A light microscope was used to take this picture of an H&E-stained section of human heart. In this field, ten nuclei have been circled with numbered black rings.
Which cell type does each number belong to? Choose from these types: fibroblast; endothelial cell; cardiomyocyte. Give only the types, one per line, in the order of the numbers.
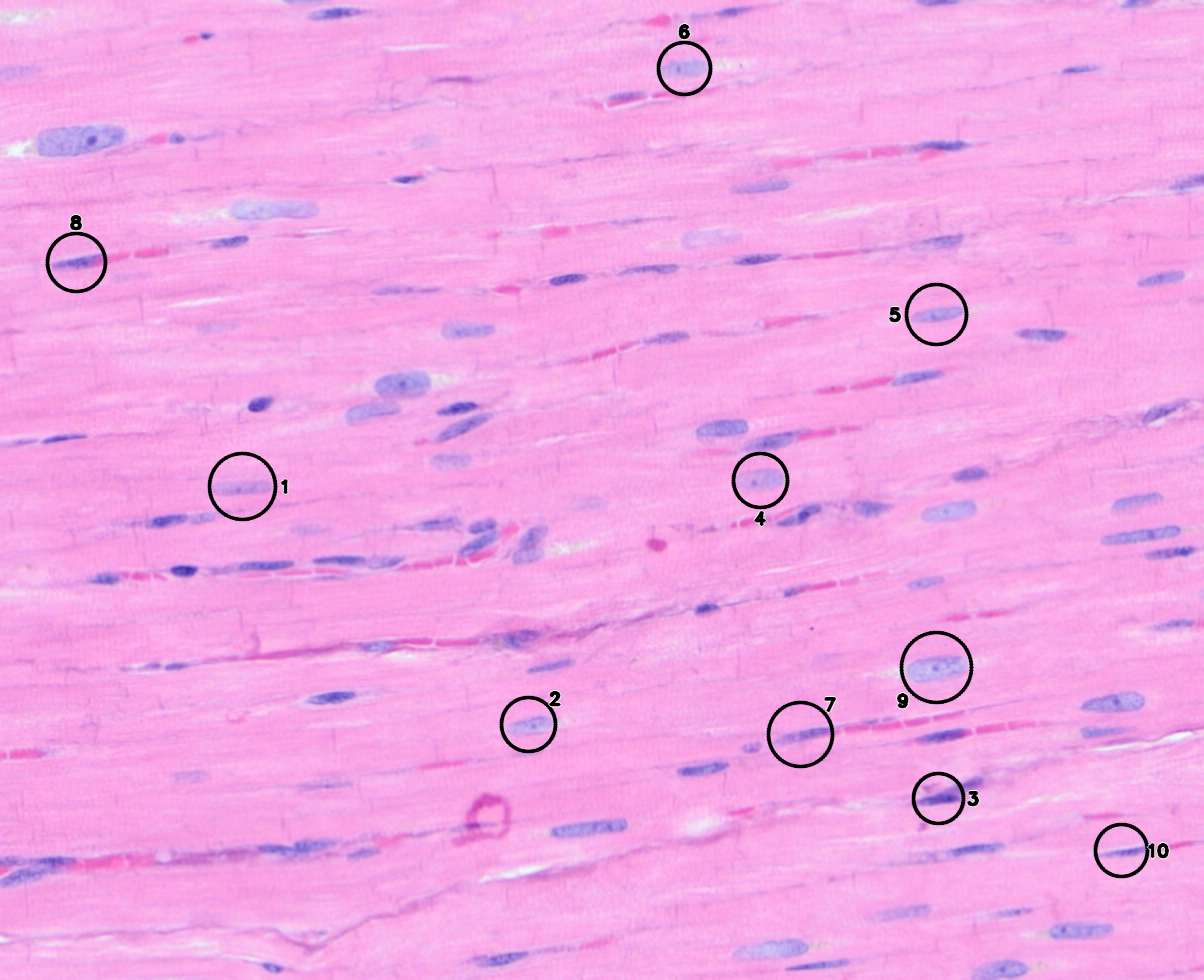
cardiomyocyte
cardiomyocyte
endothelial cell
cardiomyocyte
cardiomyocyte
cardiomyocyte
endothelial cell
endothelial cell
cardiomyocyte
endothelial cell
